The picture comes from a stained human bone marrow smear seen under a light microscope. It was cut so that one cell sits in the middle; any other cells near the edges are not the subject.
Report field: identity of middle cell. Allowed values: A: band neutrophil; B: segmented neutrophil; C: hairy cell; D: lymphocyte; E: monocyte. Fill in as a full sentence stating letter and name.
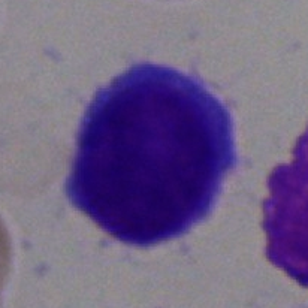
Since the middle cell is a lymphocyte, option D is the right one.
